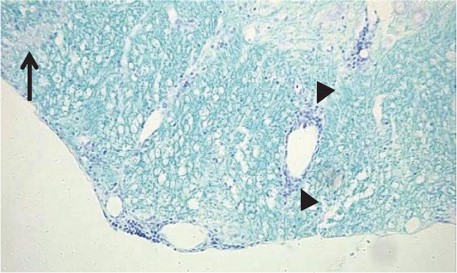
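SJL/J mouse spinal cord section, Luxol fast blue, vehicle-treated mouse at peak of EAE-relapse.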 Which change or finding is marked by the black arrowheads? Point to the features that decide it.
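Perivascular cuffing. The dense nuclei surround an open, round vessel lumen within the blue-stained tissue.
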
